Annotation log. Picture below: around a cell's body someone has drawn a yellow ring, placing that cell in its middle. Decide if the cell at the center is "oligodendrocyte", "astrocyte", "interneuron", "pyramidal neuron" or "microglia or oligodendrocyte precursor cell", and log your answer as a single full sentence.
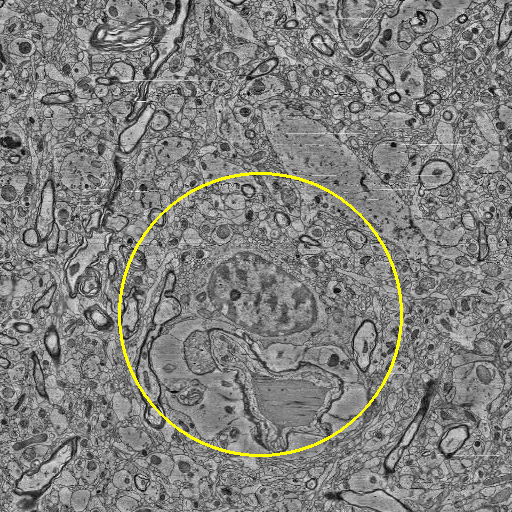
My entry records an oligodendrocyte as the cell sitting at the center of the yellow ring.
